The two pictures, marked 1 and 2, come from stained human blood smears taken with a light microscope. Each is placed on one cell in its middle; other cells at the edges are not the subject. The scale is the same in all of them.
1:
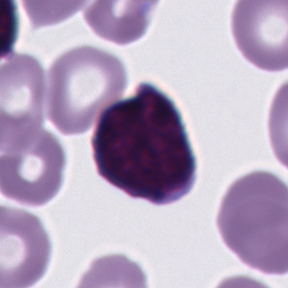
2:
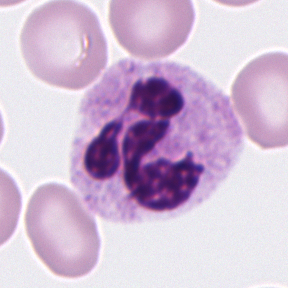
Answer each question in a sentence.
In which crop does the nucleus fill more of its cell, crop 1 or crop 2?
In crop 1 the nucleus takes up the larger part of its cell.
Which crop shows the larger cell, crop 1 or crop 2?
Larger is the cell in crop 2, at roughly 2 times the area of the other.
